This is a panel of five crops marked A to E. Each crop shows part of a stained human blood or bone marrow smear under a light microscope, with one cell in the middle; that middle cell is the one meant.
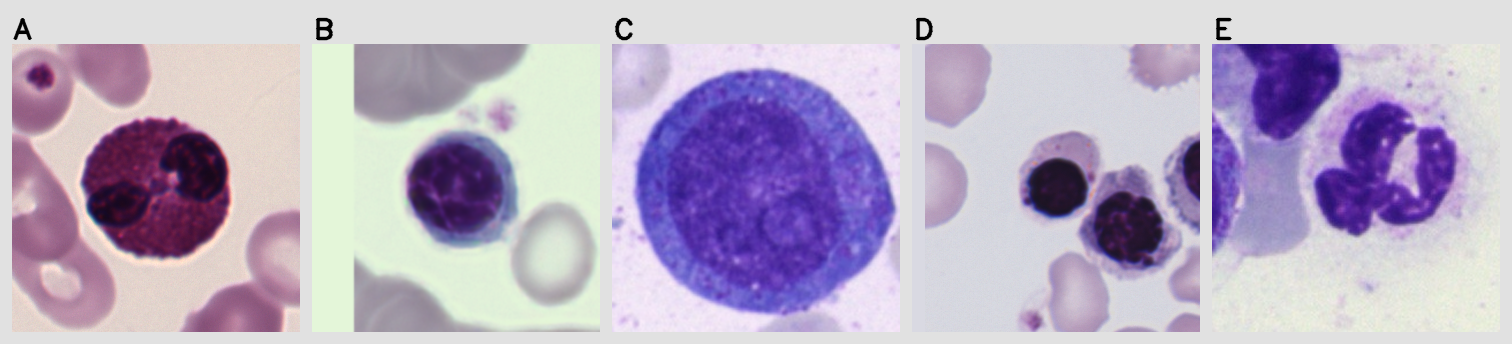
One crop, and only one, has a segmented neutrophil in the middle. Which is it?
E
